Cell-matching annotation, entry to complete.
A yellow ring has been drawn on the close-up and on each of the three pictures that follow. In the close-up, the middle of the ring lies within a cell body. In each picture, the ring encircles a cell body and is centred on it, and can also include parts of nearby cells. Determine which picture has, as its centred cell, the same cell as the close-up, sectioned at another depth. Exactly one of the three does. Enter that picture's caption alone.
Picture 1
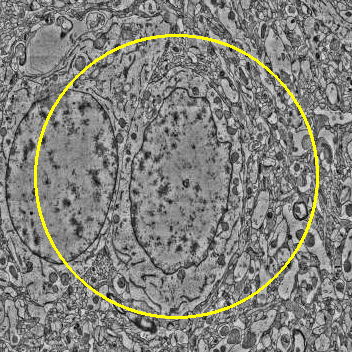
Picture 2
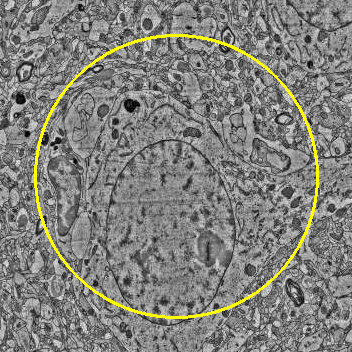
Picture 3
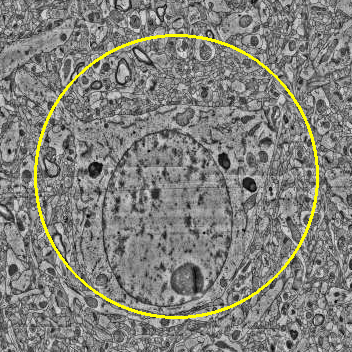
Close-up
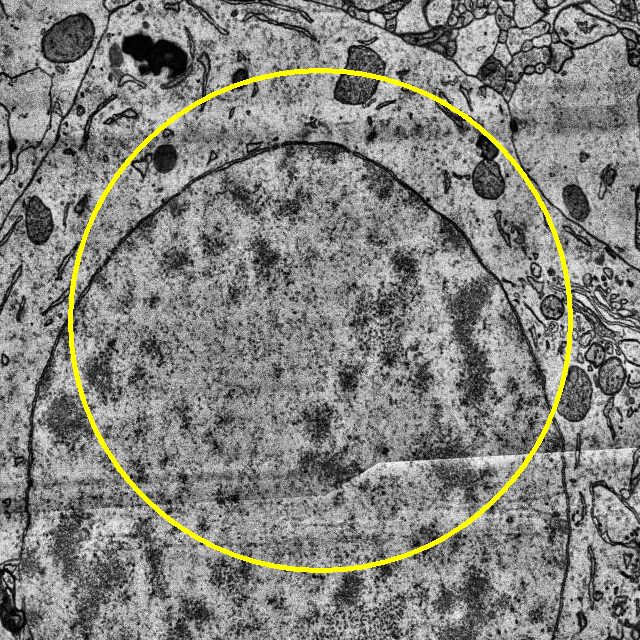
Picture 2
